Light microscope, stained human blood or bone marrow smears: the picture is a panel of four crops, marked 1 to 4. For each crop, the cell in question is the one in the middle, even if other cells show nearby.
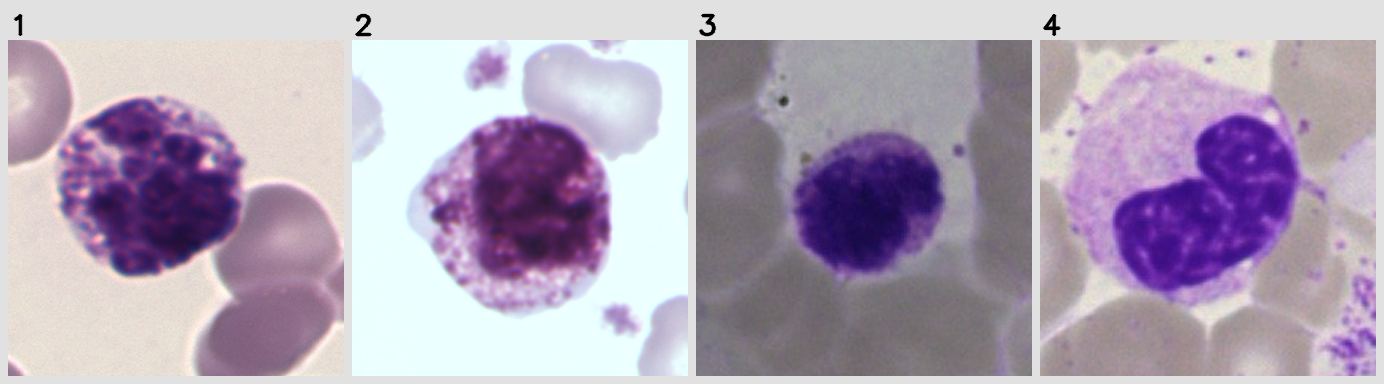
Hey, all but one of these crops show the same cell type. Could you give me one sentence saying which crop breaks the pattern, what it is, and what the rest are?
Crop 4 holds a segmented neutrophil, unlike the remaining crops, all of which hold basophils.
